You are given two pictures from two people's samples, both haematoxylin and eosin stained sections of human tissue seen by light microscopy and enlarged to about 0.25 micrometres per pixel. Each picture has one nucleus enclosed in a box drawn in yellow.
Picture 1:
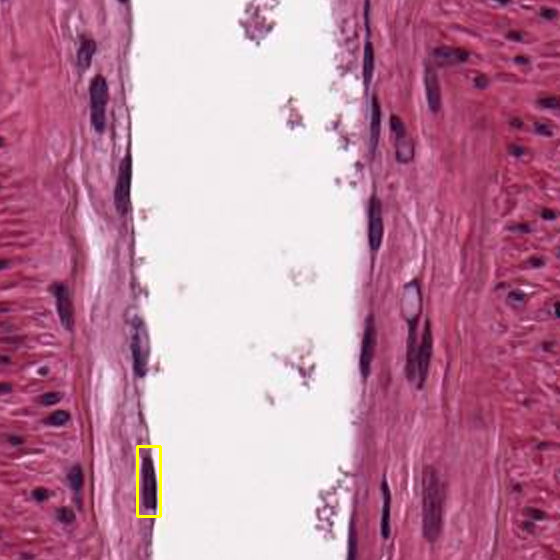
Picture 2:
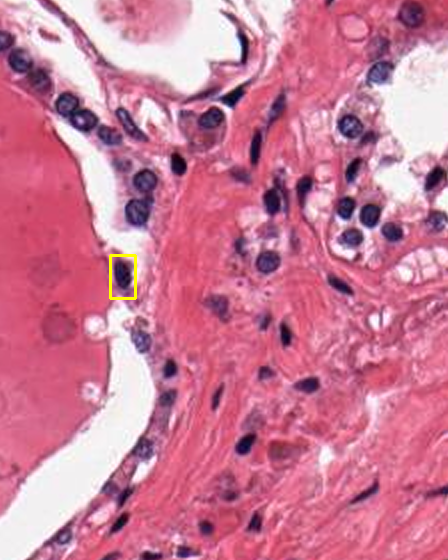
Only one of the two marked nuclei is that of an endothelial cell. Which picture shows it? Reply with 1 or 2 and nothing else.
1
